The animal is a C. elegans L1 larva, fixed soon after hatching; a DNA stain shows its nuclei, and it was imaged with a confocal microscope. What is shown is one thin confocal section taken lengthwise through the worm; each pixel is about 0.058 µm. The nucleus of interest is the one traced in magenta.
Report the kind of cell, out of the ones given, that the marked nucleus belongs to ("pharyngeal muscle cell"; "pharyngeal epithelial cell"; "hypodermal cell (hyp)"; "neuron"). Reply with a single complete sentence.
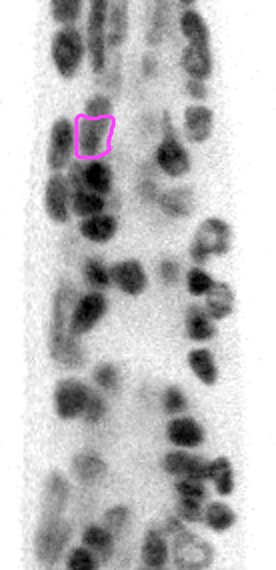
The cell with the marked nucleus is a pharyngeal epithelial cell.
